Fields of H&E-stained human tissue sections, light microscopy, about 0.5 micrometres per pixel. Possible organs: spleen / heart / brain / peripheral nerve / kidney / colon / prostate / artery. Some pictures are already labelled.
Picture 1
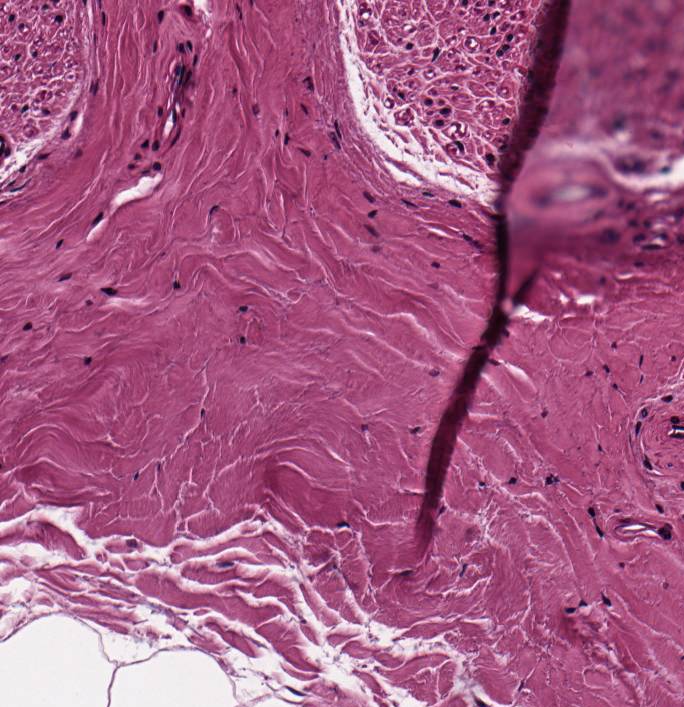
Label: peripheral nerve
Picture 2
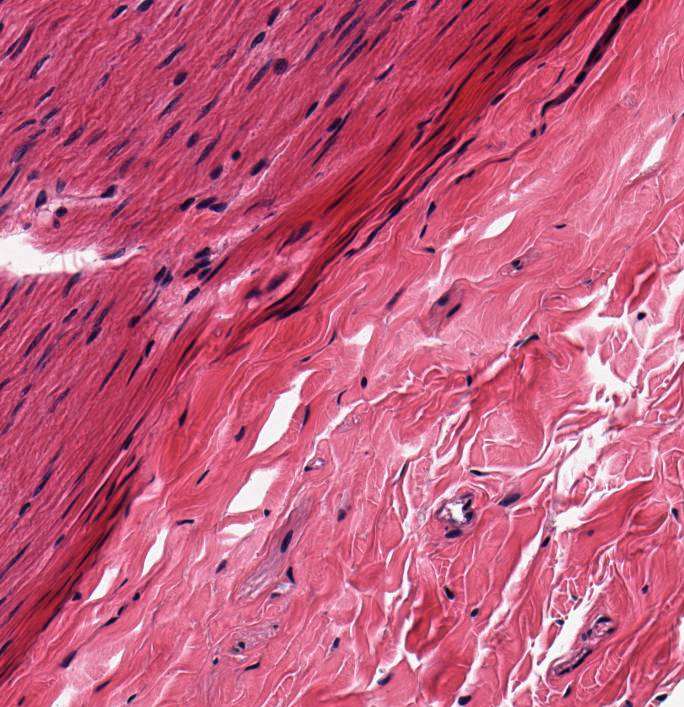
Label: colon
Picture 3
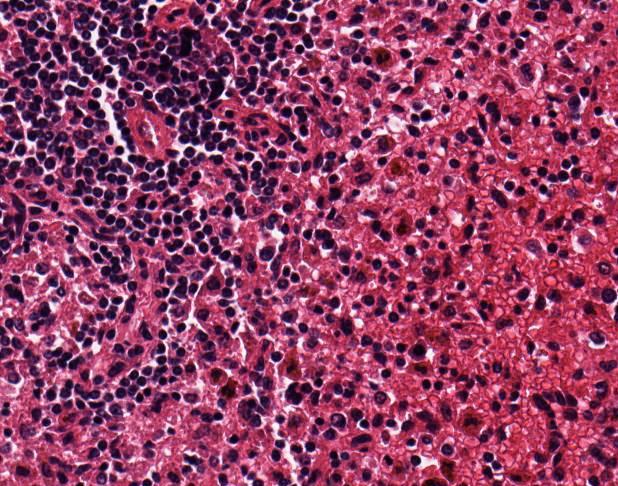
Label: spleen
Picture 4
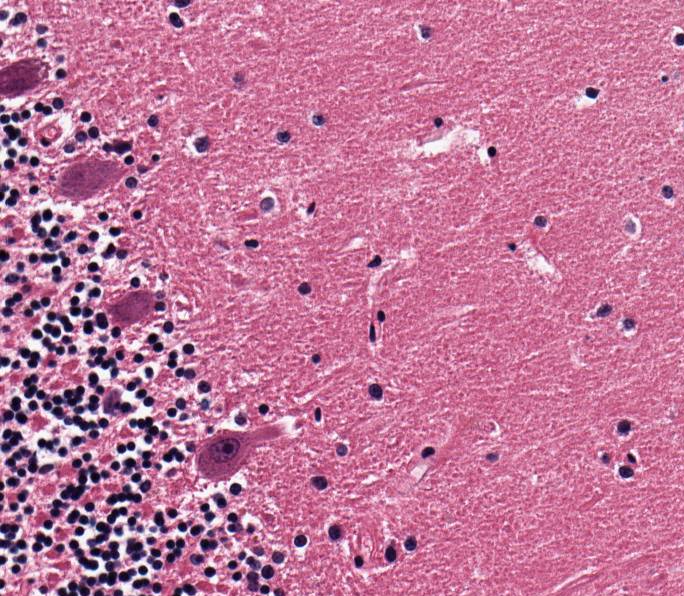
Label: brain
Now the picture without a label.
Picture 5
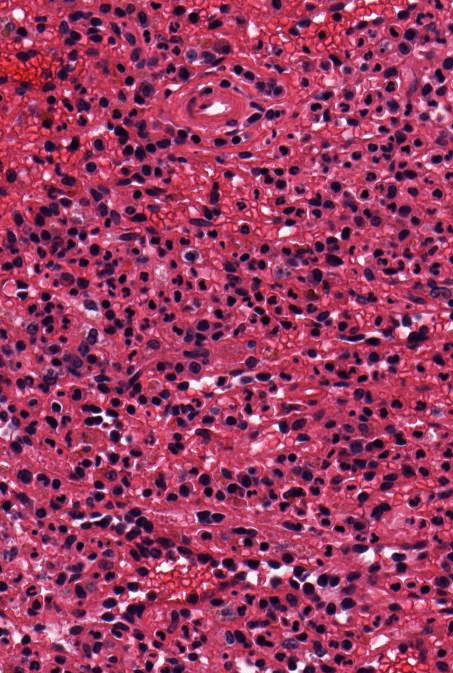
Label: spleen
